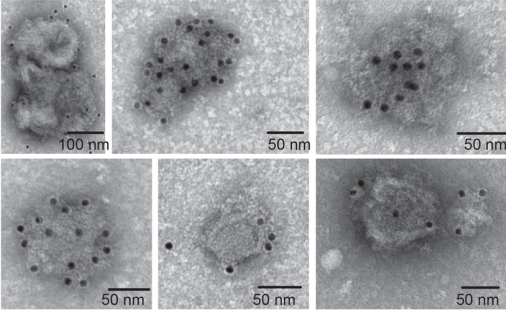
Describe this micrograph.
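Several small, roughly round vesicles with a grey, textured surface sit on a fine granular background. Dense black round dots of uniform small size are scattered over and around each vesicle, often many per vesicle. The vesicles are small, on the scale of the short scale bars, and some are irregular or partly folded.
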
